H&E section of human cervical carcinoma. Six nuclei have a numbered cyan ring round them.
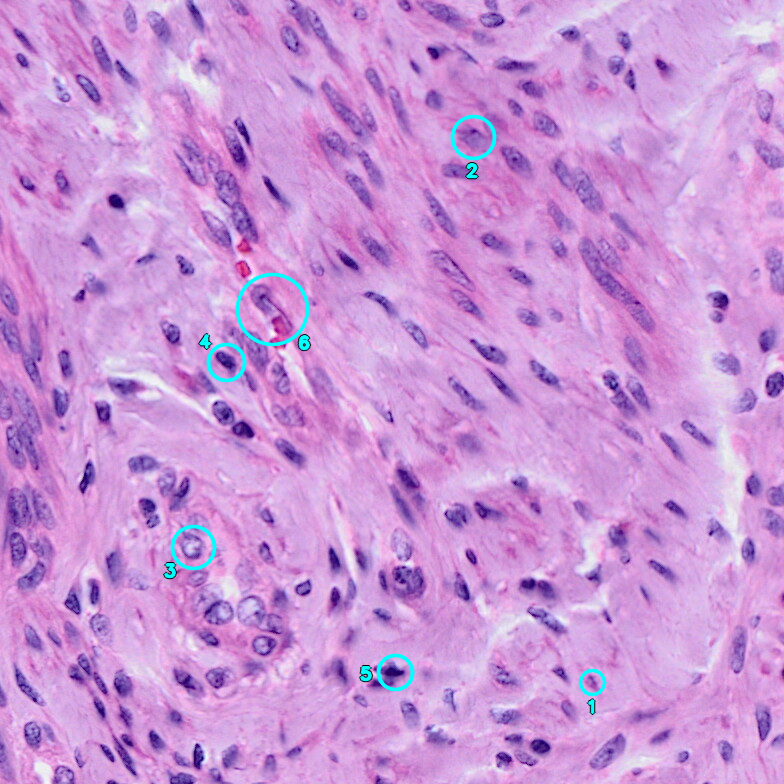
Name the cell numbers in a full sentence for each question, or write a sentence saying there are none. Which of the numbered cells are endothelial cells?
Within the section, cells numbered 3 and 6 are endothelial cells.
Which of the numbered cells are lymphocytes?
The cells marked by the numbers 4 and 5 are lymphocytes.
